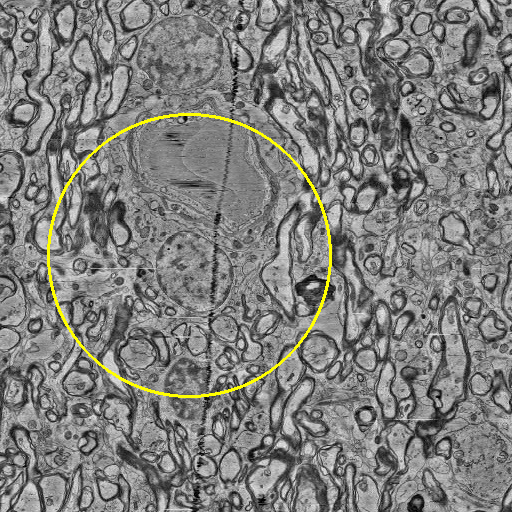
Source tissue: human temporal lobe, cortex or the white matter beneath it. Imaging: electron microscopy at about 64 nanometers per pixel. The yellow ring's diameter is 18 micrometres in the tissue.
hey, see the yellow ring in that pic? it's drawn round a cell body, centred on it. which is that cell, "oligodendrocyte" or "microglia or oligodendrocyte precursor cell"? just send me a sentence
The cell in the ring is a microglial cell or oligodendrocyte precursor cell.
